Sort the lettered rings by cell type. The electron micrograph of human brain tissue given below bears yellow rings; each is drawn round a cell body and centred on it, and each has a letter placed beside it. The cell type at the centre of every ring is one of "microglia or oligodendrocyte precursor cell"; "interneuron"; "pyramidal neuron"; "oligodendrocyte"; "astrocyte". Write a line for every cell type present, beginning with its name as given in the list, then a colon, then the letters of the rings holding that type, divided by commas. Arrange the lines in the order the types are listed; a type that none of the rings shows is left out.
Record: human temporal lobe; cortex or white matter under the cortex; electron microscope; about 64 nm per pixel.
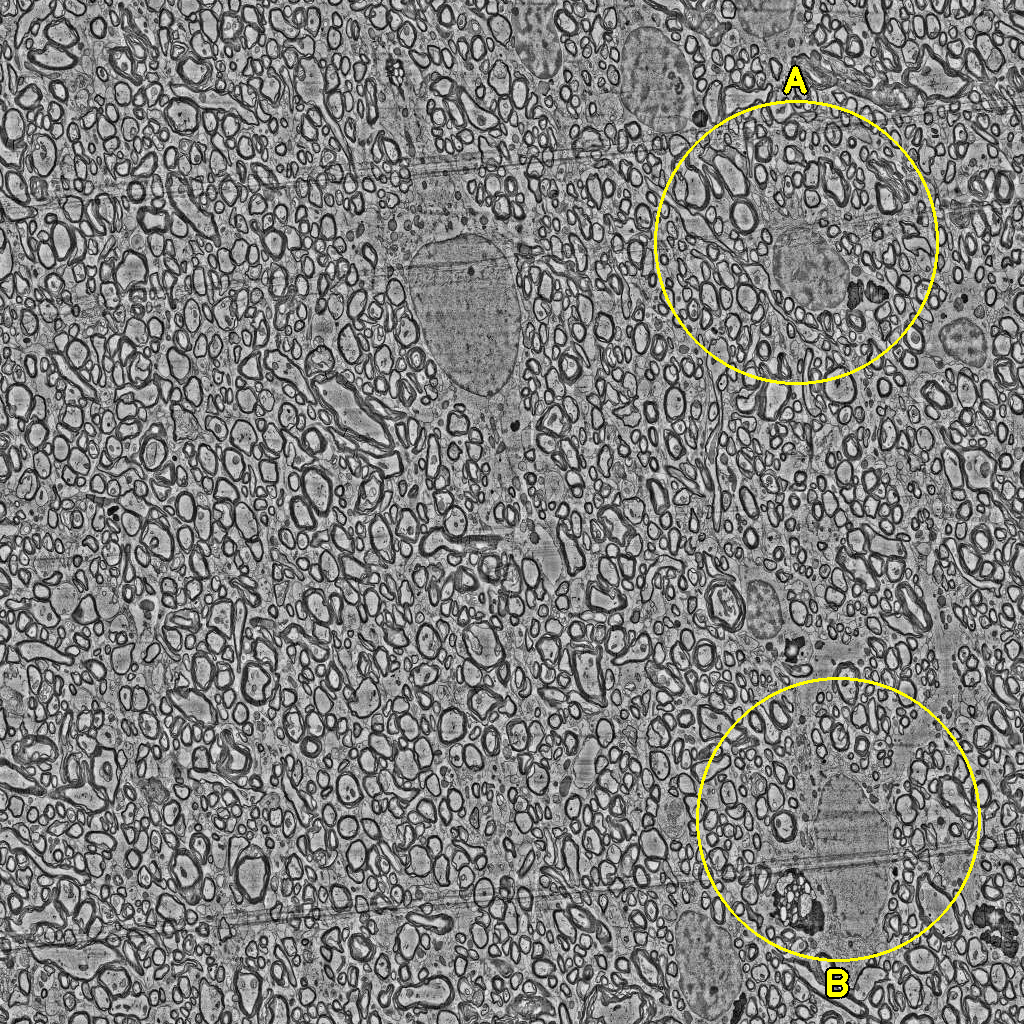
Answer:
oligodendrocyte: A
astrocyte: B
